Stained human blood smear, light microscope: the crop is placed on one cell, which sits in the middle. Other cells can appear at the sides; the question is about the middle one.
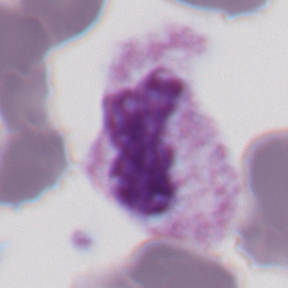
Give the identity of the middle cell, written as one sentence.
The cell positioned in the middle of the field is a segmented neutrophil.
